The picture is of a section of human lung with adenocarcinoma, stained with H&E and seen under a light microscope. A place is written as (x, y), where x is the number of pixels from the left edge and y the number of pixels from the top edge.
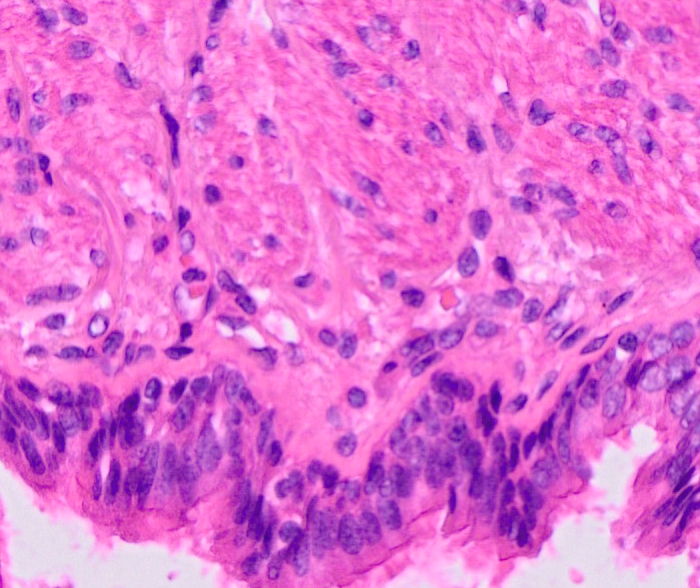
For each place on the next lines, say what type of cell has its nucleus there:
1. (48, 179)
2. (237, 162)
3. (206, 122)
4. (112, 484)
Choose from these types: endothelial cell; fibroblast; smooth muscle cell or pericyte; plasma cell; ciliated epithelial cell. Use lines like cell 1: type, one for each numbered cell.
cell 1: smooth muscle cell or pericyte
cell 2: smooth muscle cell or pericyte
cell 3: smooth muscle cell or pericyte
cell 4: ciliated epithelial cell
